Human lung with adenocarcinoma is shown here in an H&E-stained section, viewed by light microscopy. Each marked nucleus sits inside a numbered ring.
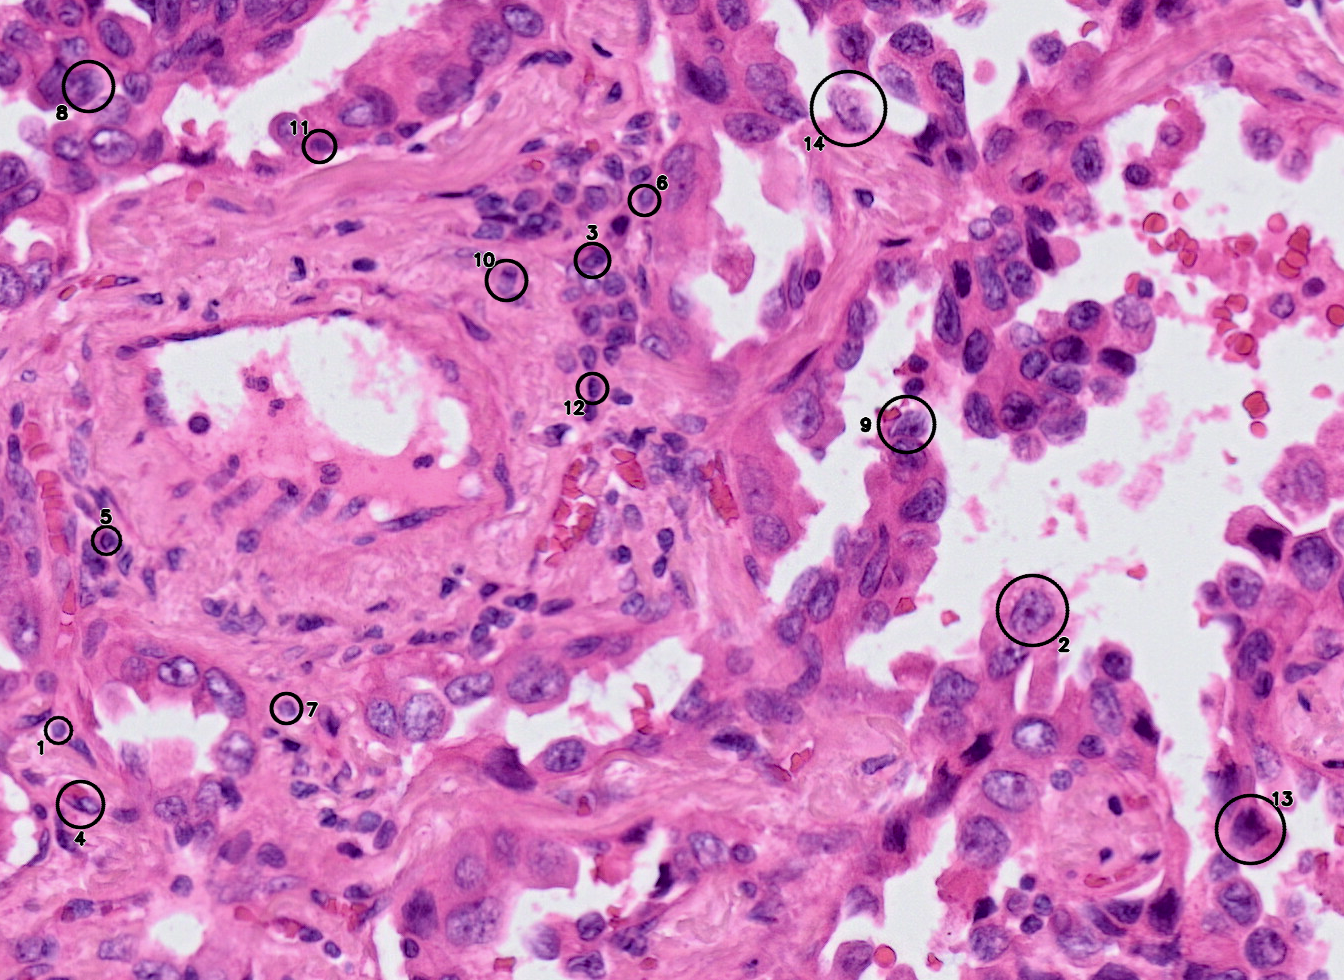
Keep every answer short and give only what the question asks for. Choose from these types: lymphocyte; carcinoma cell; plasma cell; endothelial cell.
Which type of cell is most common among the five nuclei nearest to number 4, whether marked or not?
lymphocyte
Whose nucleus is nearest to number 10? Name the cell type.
plasma cell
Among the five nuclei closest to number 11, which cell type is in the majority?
carcinoma cell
